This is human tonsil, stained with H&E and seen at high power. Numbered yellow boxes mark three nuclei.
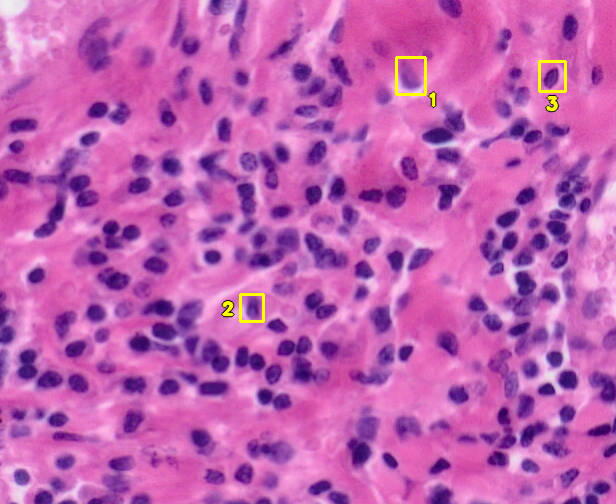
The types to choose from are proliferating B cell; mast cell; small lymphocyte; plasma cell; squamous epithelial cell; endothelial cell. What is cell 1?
endothelial cell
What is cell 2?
endothelial cell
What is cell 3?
mast cell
